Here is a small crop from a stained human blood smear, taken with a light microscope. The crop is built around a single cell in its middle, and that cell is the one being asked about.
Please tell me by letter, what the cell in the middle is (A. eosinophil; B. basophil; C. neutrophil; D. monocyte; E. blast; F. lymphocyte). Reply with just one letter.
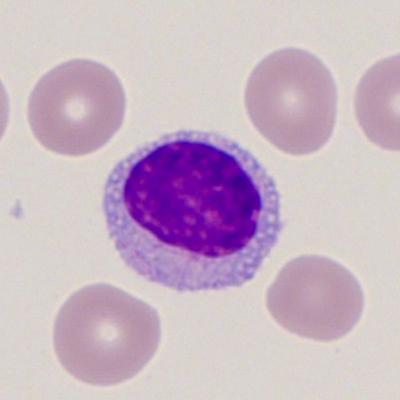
F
